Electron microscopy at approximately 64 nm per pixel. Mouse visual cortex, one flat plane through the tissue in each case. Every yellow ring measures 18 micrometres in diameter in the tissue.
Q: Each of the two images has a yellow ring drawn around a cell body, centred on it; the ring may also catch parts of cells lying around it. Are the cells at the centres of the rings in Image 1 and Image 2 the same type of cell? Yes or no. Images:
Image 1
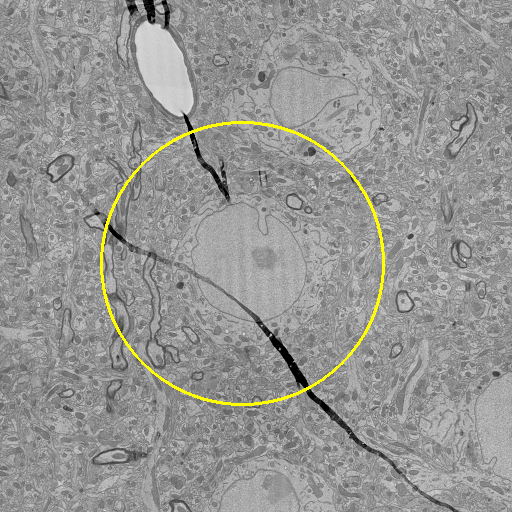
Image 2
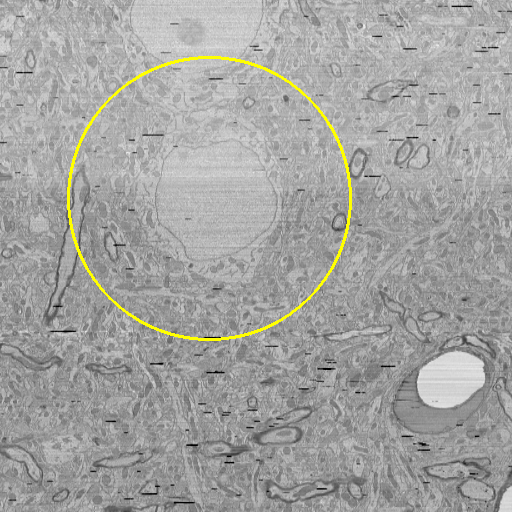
yes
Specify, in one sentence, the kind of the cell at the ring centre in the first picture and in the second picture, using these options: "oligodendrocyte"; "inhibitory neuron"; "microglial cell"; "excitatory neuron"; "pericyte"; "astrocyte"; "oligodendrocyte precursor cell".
Each cell at the centre of a ring is an excitatory neuron.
